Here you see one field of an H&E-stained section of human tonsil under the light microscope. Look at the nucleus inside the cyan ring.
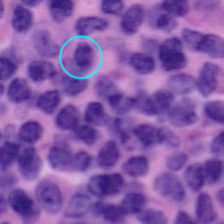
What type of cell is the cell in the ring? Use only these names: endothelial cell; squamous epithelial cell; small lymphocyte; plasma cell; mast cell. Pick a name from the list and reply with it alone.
small lymphocyte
